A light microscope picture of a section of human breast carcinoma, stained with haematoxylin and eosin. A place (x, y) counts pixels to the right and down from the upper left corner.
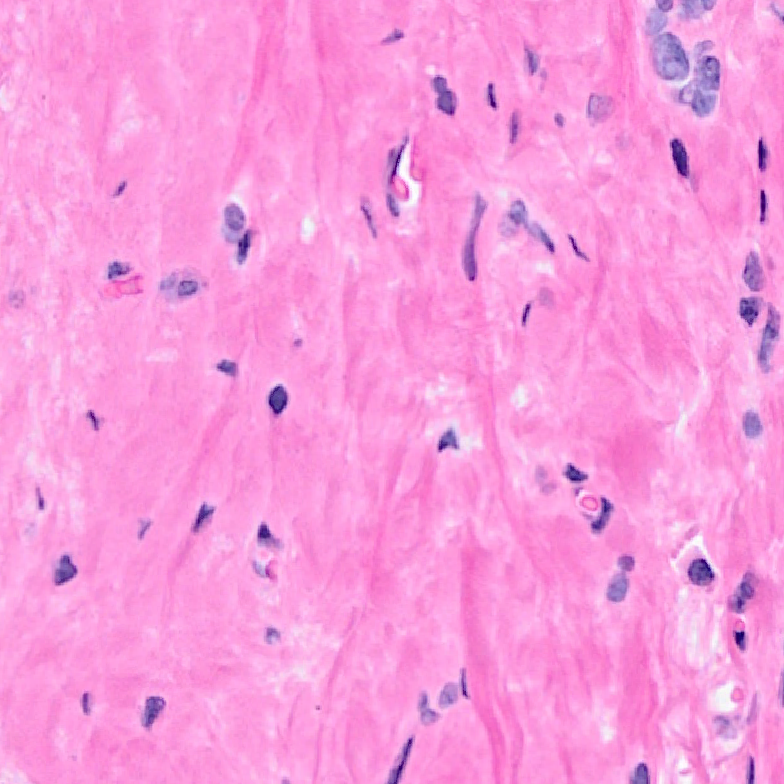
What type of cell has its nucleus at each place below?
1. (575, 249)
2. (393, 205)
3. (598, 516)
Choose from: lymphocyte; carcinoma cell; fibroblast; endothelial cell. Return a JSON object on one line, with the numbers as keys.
{"1": "fibroblast", "2": "endothelial cell", "3": "endothelial cell"}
